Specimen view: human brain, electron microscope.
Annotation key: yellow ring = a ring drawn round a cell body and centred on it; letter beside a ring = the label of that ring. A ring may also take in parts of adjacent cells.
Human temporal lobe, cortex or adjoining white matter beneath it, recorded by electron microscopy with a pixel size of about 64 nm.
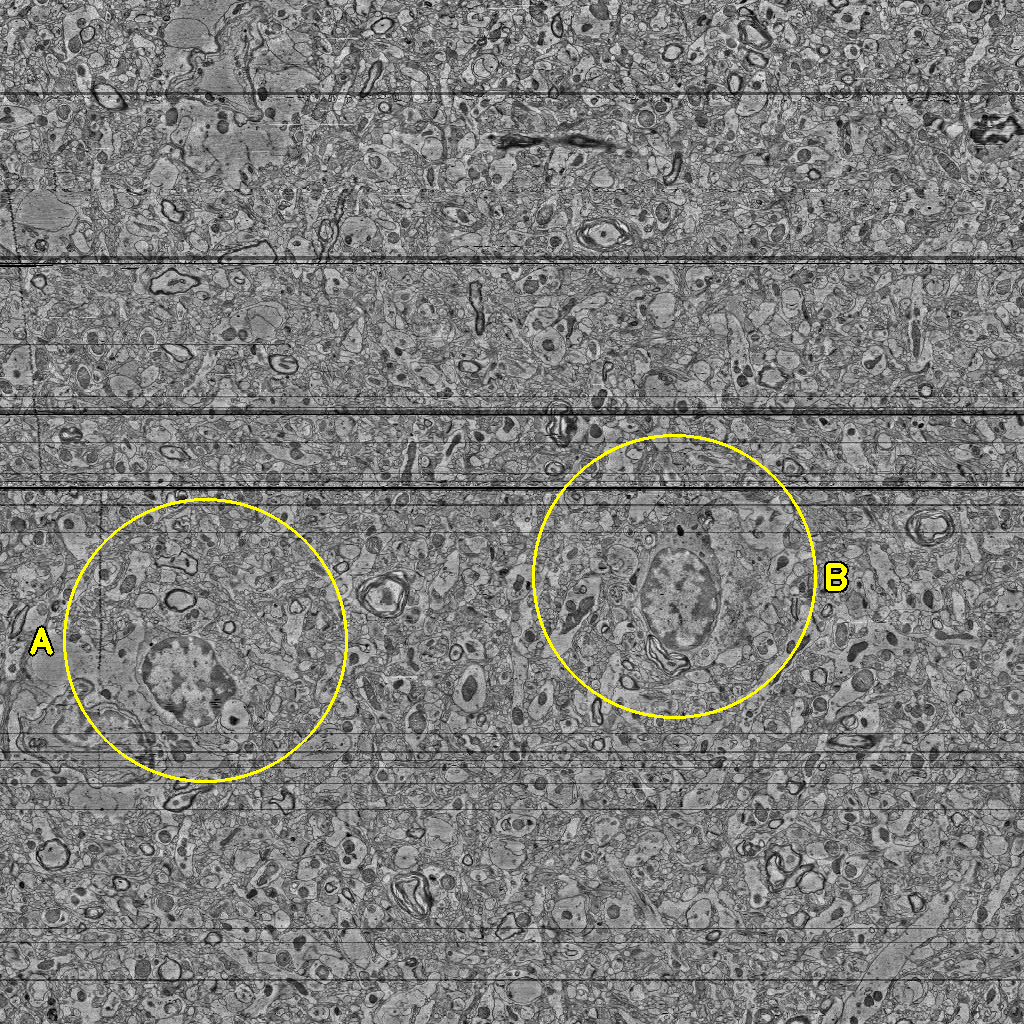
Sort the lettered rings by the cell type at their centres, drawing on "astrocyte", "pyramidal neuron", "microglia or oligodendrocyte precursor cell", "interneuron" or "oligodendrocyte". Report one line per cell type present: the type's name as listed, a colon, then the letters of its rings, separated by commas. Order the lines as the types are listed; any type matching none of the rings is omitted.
microglia or oligodendrocyte precursor cell: A
oligodendrocyte: B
